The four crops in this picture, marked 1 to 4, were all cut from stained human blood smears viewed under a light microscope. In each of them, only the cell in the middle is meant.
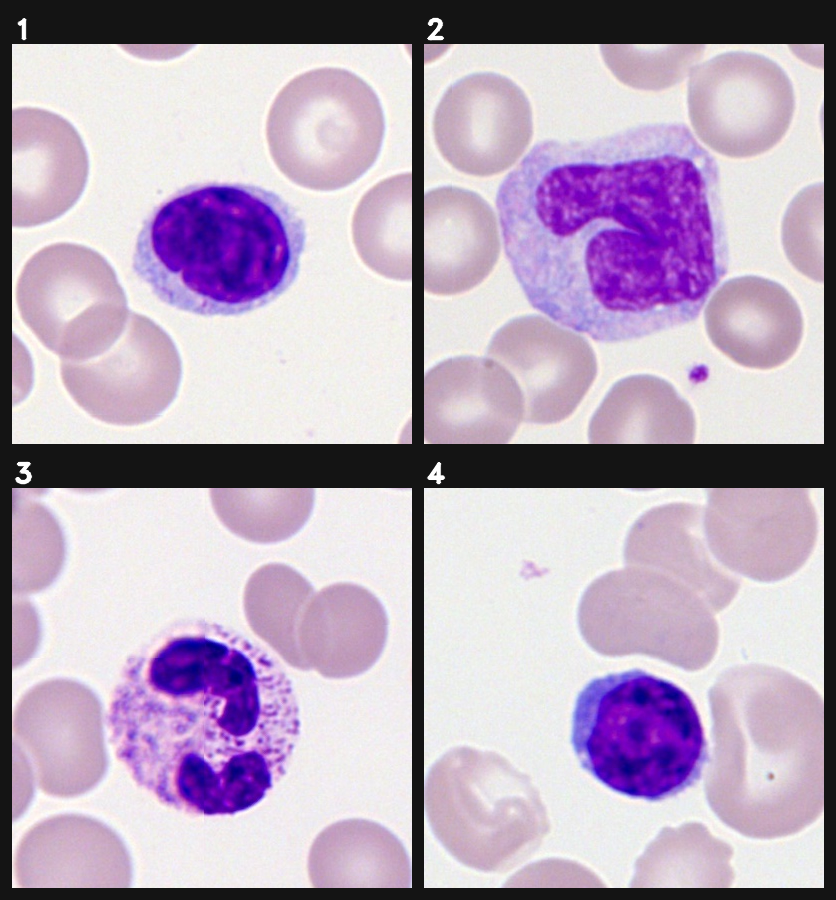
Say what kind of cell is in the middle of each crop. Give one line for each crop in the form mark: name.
1: lymphocyte
2: monocyte
3: segmented neutrophil
4: lymphocyte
